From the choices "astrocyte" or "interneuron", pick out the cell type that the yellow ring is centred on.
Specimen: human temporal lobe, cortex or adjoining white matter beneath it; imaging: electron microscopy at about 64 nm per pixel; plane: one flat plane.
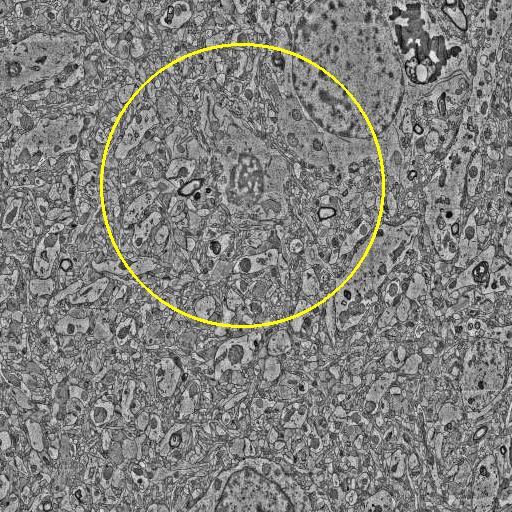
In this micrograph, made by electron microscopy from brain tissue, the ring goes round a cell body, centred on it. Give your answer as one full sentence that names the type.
The yellow ring is centred on an astrocyte, whose cell body it encircles in the picture.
